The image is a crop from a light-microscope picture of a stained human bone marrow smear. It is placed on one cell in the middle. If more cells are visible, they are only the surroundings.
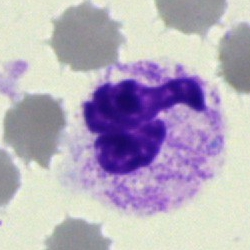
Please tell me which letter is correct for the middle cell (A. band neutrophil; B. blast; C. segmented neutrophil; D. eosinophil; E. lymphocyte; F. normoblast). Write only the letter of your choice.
C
